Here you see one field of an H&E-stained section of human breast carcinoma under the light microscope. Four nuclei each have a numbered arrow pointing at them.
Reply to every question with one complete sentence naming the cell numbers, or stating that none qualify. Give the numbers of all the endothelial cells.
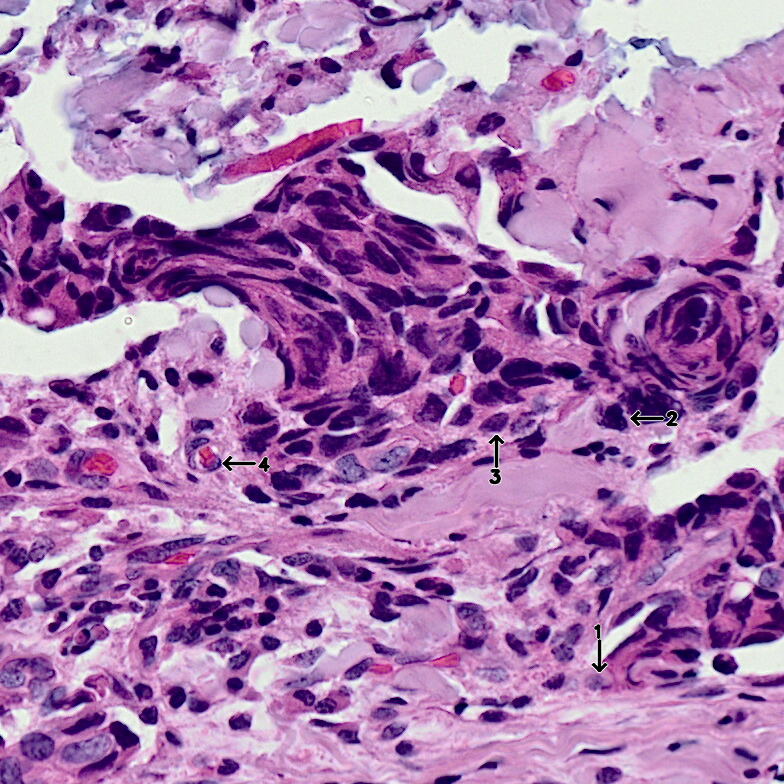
The cells whose numbers are 1 and 4 are endothelial cells.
